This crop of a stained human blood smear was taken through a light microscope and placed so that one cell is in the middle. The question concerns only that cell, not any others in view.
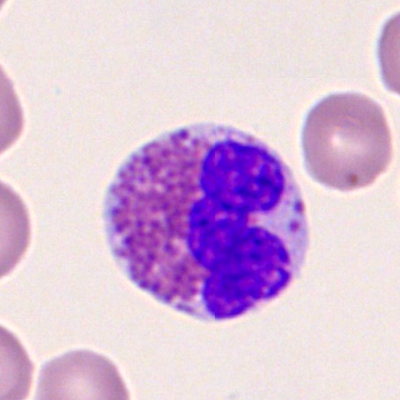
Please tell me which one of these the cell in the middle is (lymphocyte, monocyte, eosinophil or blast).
eosinophil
